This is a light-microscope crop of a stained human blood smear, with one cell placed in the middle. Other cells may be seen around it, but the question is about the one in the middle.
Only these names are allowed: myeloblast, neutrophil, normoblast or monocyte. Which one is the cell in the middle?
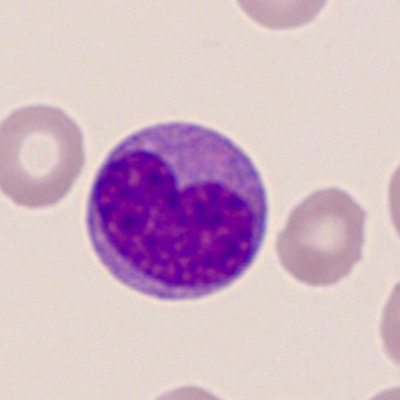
monocyte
